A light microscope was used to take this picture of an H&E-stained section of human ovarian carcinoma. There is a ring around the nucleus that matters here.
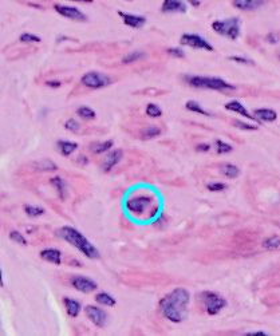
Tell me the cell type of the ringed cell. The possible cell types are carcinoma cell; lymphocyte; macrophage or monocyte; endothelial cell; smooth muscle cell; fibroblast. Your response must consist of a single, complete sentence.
The category to which the ringed cell belongs is that of a smooth muscle cell.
